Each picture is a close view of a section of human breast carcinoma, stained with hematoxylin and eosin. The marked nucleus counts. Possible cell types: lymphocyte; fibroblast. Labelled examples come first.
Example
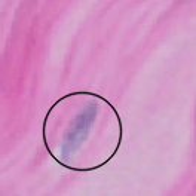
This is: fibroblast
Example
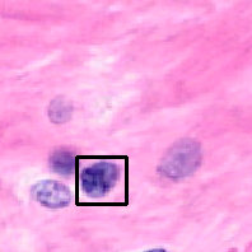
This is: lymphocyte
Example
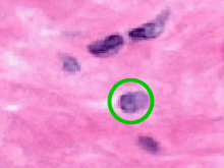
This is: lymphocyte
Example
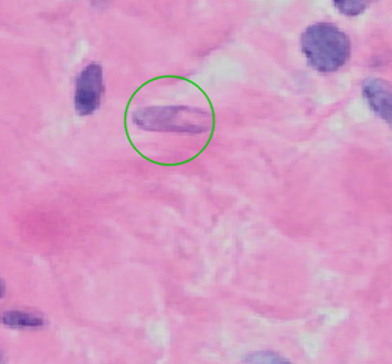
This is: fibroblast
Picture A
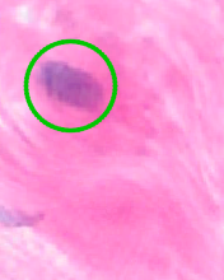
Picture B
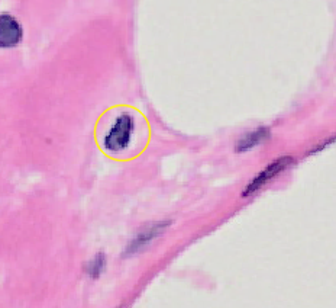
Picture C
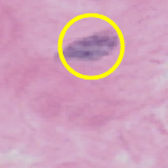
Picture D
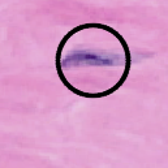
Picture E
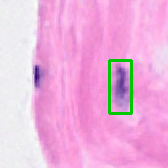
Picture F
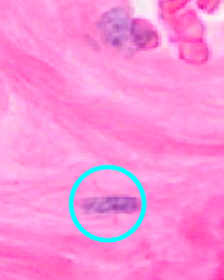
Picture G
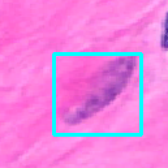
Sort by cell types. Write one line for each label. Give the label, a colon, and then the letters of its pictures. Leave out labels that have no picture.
lymphocyte: B
fibroblast: A, C, D, E, F, G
